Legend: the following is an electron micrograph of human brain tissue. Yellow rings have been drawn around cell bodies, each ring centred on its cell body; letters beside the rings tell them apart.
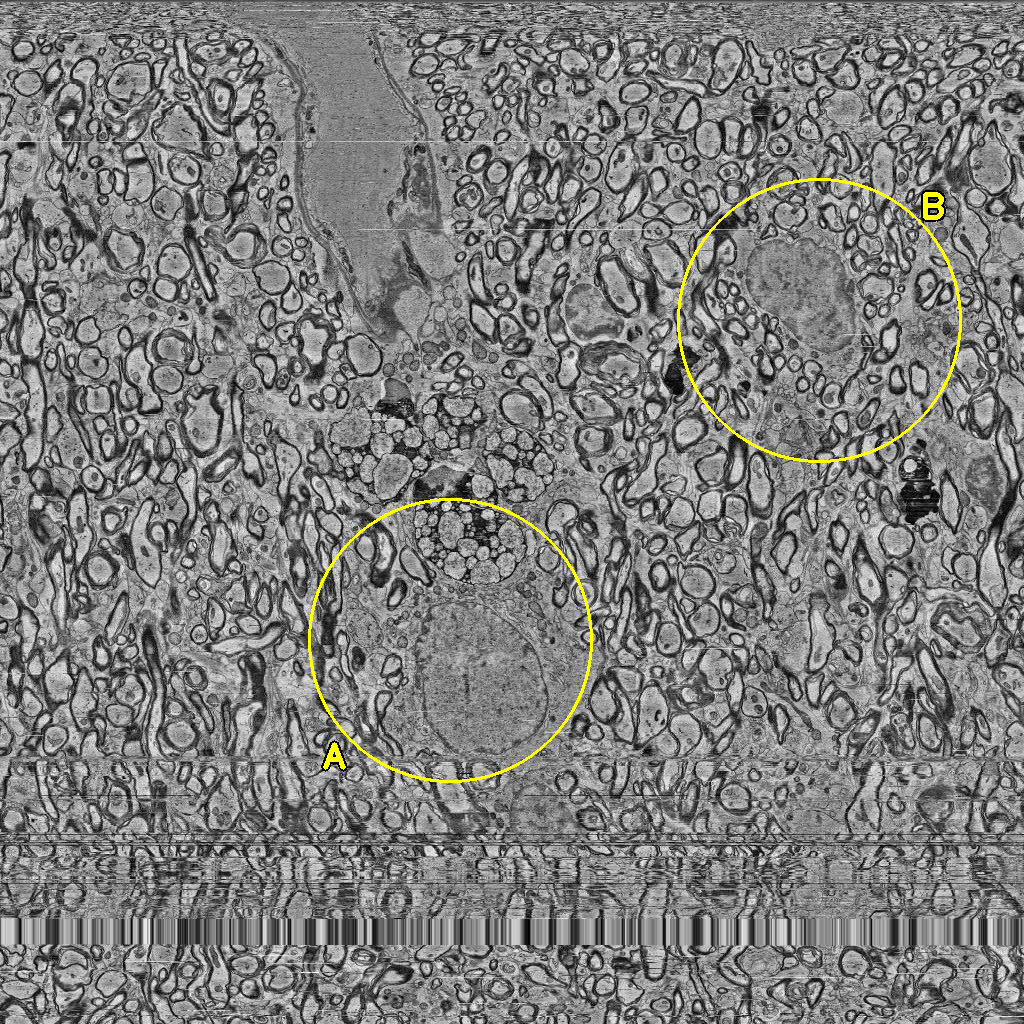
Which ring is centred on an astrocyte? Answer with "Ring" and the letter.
Ring A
